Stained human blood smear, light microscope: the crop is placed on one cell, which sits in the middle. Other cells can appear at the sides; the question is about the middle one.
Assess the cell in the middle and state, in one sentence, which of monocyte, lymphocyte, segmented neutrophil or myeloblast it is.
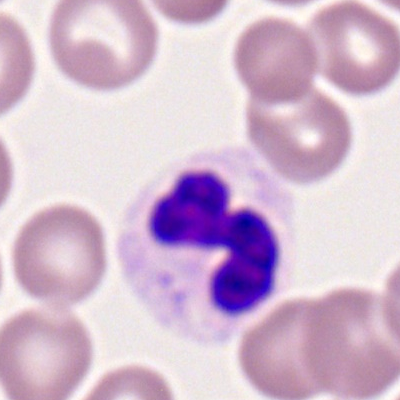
This crop has a segmented neutrophil at its centre.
